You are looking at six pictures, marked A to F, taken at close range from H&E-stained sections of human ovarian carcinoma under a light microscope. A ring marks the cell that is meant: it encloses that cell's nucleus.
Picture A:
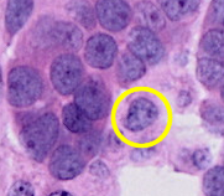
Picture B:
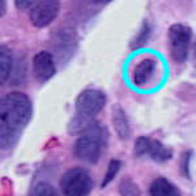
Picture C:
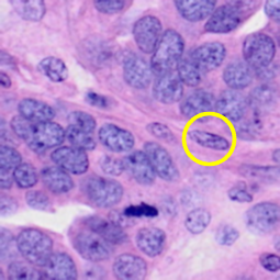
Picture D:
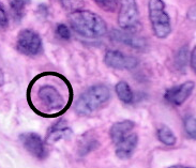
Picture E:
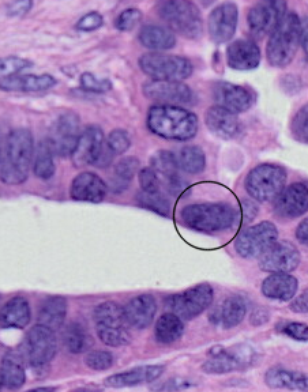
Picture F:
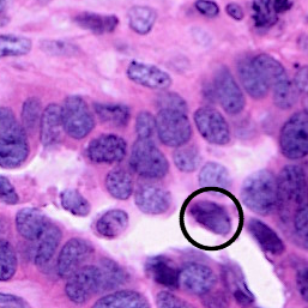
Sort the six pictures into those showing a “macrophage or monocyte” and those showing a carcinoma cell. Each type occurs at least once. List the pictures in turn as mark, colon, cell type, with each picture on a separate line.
A: macrophage or monocyte
B: macrophage or monocyte
C: macrophage or monocyte
D: macrophage or monocyte
E: carcinoma cell
F: carcinoma cell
